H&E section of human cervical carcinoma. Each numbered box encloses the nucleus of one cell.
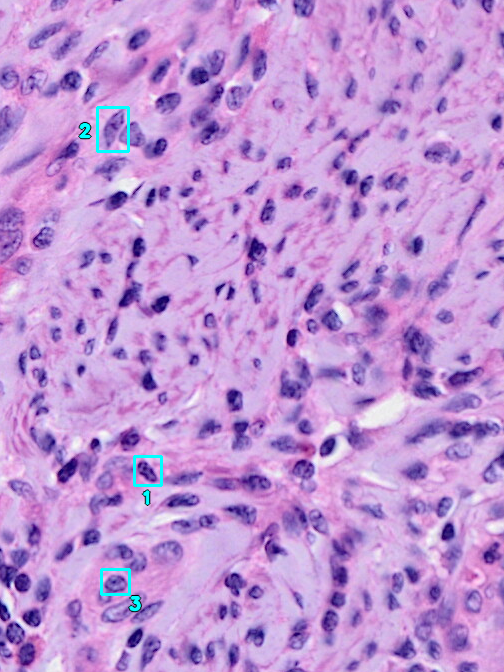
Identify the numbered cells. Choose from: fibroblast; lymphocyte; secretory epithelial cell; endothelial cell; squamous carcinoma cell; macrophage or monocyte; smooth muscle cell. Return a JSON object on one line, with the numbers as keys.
{"1": "lymphocyte", "2": "fibroblast", "3": "endothelial cell"}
